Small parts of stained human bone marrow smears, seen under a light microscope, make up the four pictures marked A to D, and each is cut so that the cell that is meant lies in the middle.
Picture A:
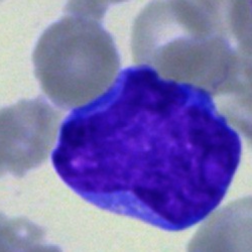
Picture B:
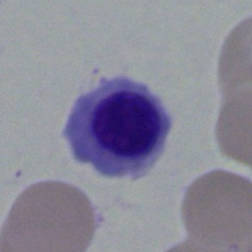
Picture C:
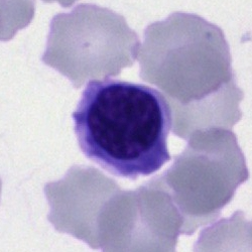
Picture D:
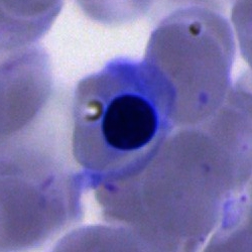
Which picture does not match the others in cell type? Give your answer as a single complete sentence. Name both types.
Unlike the rest, which show erythroblasts, picture A shows a blast.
